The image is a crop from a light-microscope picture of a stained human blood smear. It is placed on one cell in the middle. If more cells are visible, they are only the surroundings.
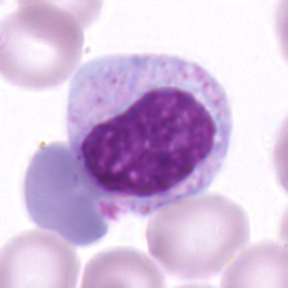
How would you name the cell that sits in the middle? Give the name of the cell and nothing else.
metamyelocyte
